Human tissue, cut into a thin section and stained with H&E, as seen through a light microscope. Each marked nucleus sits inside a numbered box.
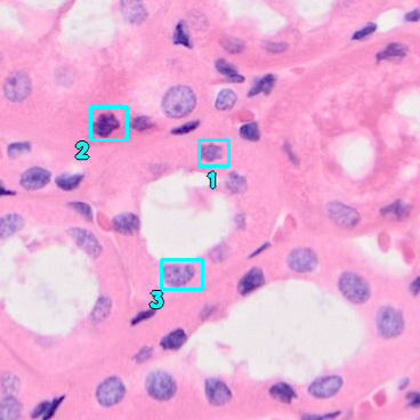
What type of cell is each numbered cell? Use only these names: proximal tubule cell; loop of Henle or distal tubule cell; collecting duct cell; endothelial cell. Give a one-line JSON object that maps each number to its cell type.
{"1": "loop of Henle or distal tubule cell", "2": "proximal tubule cell", "3": "loop of Henle or distal tubule cell"}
